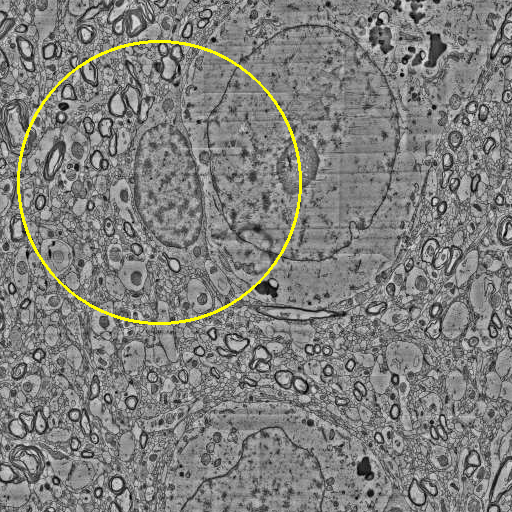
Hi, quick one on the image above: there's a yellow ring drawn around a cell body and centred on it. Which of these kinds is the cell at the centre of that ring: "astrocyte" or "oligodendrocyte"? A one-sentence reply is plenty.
The cell at the centre of the ring is an oligodendrocyte.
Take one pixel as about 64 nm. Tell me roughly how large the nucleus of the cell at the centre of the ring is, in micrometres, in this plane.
In this plane, about 8 by 4 micrometres: the nucleus is clearly longer than it is wide.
